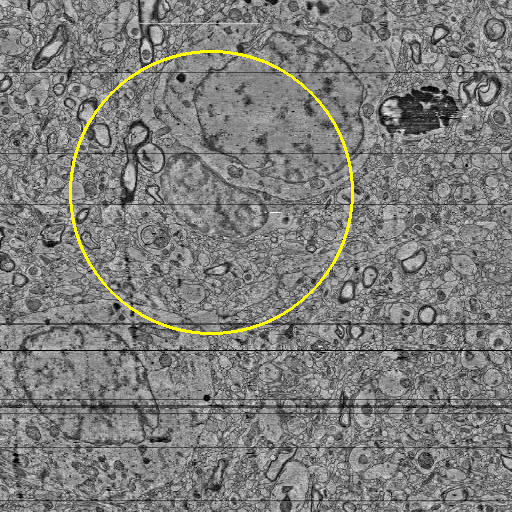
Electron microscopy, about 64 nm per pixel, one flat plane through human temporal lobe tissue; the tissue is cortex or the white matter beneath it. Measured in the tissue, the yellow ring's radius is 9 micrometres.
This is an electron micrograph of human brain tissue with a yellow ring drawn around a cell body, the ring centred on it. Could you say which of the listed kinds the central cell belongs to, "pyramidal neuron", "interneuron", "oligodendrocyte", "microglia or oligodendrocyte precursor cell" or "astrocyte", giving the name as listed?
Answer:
oligodendrocyte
